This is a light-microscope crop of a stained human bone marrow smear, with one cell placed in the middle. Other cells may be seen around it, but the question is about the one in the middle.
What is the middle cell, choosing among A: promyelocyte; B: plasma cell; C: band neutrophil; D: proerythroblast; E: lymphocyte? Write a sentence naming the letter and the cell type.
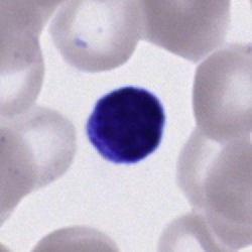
The centrally positioned cell is a lymphocyte, consistent with option E, which is correct.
